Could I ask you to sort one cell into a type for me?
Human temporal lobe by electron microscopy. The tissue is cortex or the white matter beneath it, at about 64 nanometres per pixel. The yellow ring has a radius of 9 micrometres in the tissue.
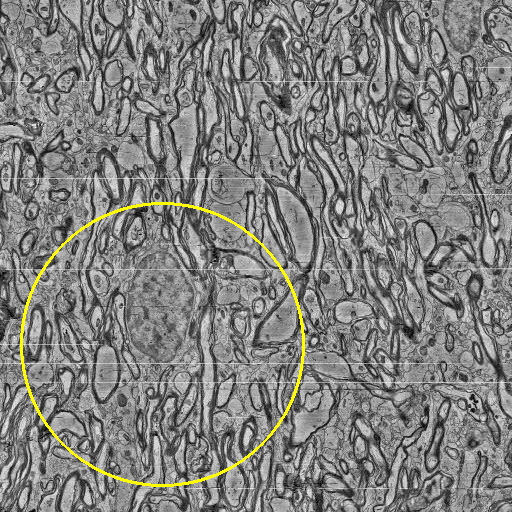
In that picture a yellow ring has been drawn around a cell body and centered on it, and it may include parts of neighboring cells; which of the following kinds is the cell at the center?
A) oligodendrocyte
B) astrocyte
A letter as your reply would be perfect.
A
